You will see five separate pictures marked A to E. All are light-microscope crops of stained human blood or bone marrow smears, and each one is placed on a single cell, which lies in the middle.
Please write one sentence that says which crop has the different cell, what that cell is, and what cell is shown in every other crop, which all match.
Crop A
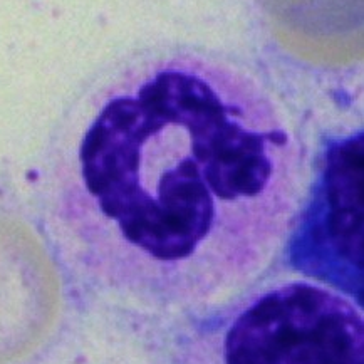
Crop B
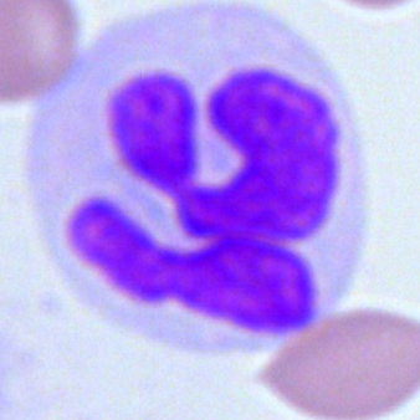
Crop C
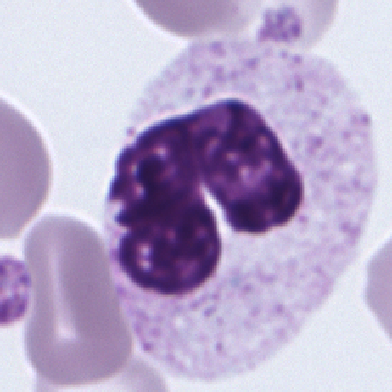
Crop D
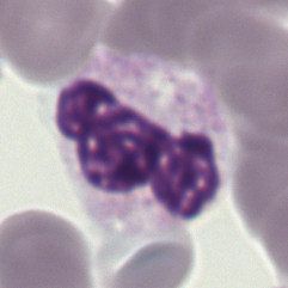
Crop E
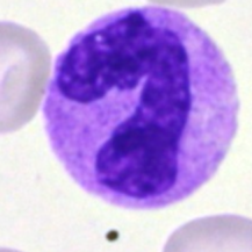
Among the crops, crop B is unique in showing a monocyte; the others show segmented neutrophils.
